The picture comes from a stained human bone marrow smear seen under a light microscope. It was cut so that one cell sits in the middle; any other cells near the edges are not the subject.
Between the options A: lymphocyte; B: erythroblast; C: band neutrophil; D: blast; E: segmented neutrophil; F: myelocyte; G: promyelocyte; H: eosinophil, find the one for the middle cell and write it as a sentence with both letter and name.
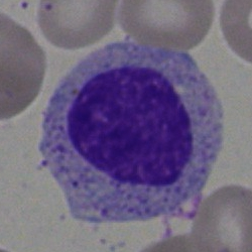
That the central cell is a myelocyte makes option F correct.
